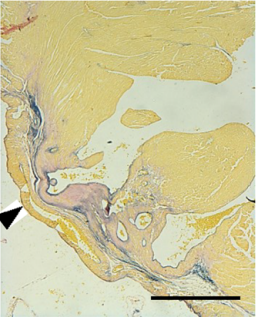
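Low-power view of ventricular wall and trabeculae, with most of the myocardium stained yellow. Along one side the wall narrows into a thin band of pink-stained fibrous tissue with dark blue-black strands, replacing the yellow muscle. Small vessels lie within this fibrous region.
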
